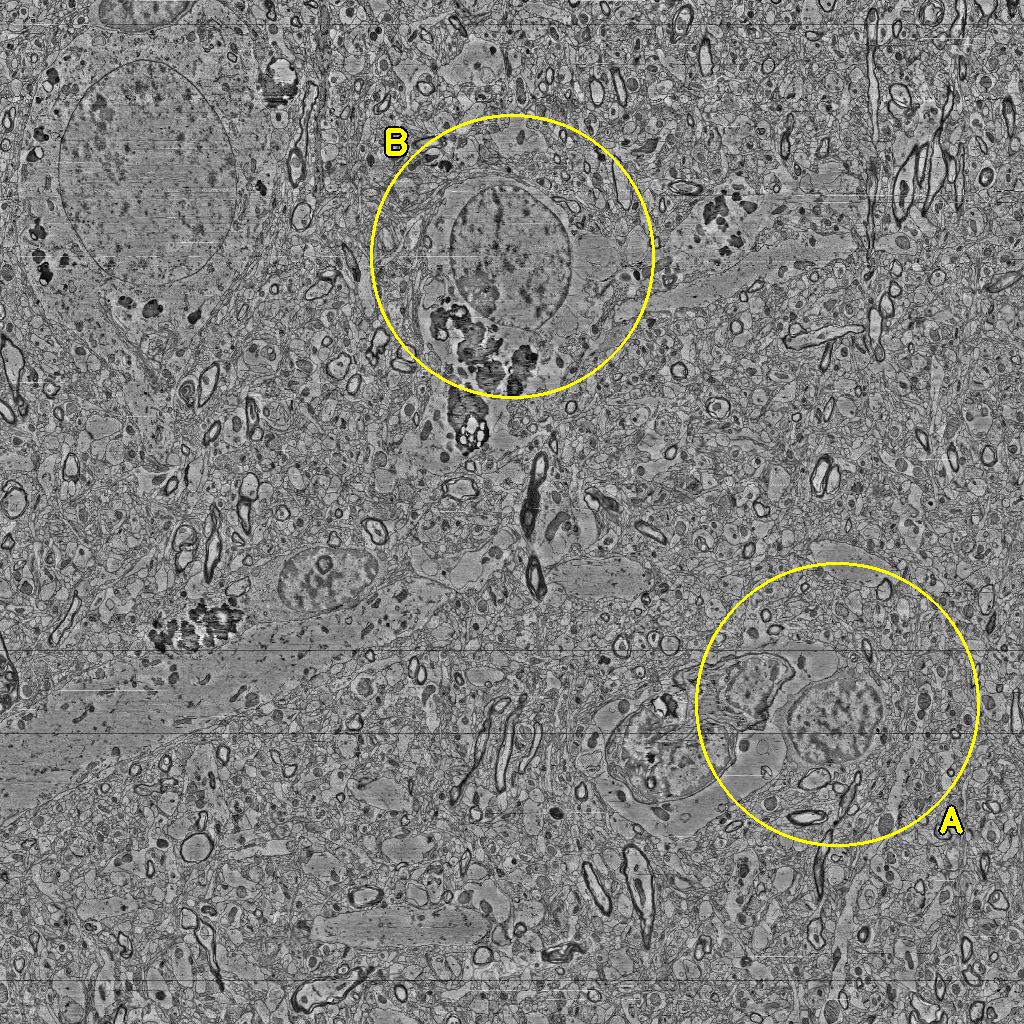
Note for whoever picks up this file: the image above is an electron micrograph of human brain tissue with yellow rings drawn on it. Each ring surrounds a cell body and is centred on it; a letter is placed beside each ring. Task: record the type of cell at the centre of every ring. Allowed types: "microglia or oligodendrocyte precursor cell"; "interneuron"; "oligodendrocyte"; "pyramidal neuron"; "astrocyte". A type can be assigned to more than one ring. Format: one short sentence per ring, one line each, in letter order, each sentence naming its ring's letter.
The ring marked A is centred on an oligodendrocyte.
The ring marked B is centred on an astrocyte.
